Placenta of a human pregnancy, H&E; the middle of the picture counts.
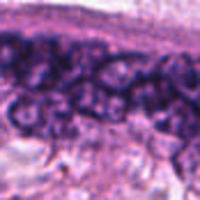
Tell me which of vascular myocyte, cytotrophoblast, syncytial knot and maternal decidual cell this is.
The picture shows a syncytial knot.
